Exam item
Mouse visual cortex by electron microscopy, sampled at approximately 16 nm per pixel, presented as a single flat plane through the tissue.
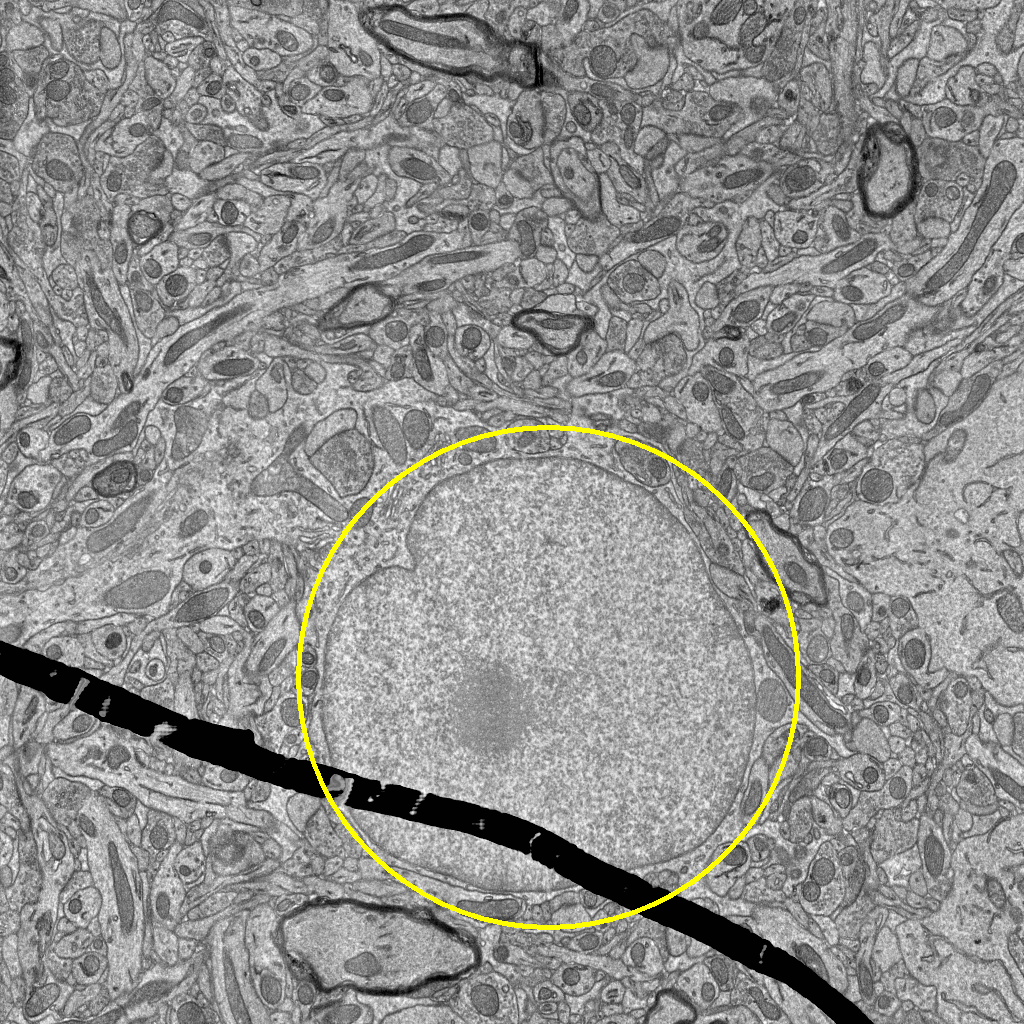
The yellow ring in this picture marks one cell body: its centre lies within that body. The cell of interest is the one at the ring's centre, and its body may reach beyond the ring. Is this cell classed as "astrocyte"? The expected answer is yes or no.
yes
